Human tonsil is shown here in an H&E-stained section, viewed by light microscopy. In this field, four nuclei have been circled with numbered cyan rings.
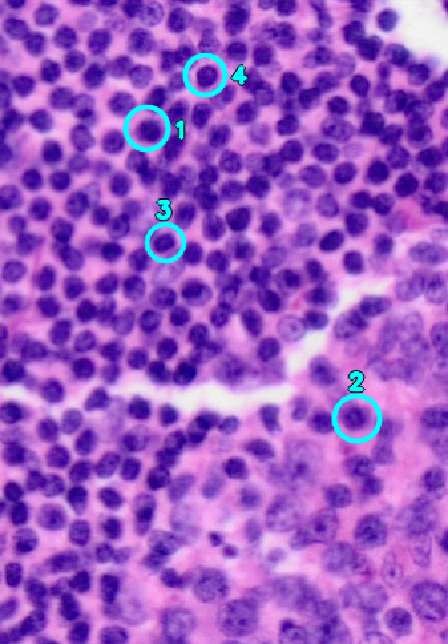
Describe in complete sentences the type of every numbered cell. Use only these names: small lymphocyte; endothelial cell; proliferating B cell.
Cells 1, 3 and 4 are small lymphocytes. Cell 2 is a proliferating B cell.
